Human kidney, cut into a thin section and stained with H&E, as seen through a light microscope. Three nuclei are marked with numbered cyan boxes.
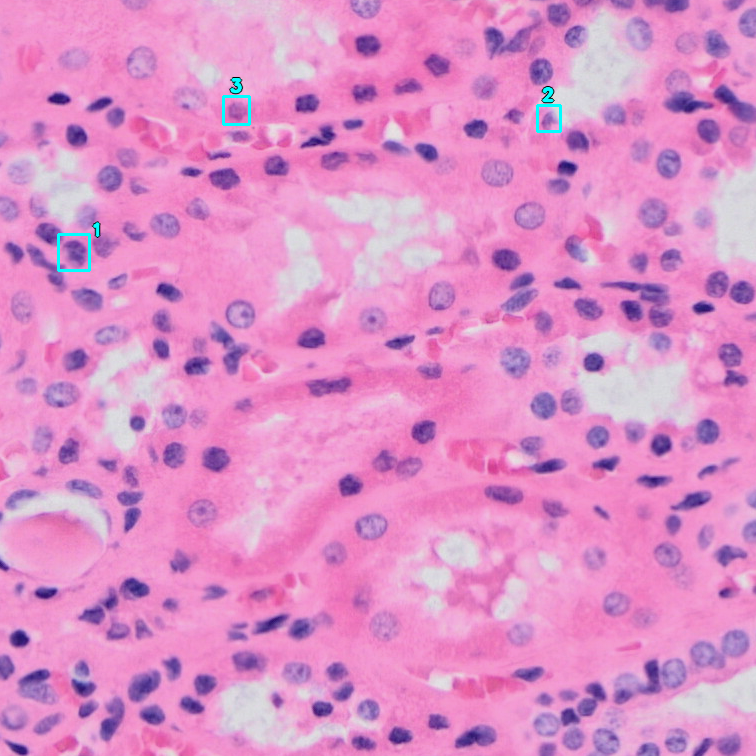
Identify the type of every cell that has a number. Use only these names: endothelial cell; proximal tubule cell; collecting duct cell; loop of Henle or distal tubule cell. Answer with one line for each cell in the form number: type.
1: loop of Henle or distal tubule cell
2: loop of Henle or distal tubule cell
3: proximal tubule cell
